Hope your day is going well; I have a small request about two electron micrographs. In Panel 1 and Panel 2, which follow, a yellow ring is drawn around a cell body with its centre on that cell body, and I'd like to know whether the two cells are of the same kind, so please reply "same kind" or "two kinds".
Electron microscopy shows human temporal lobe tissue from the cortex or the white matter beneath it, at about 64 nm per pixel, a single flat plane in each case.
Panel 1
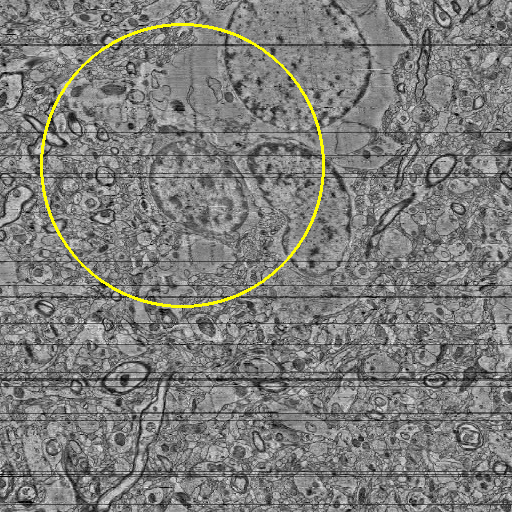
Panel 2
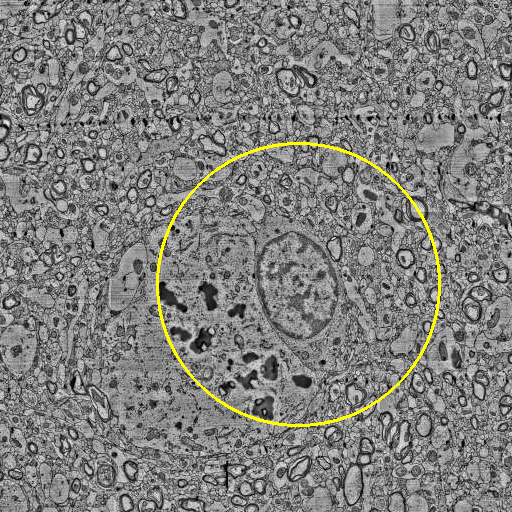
same kind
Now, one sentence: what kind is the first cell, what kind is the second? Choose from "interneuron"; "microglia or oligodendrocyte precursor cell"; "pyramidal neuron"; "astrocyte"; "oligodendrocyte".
Each one of the two ringed cells is an oligodendrocyte.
